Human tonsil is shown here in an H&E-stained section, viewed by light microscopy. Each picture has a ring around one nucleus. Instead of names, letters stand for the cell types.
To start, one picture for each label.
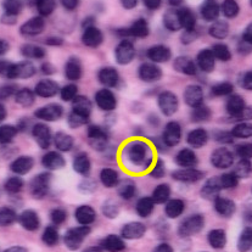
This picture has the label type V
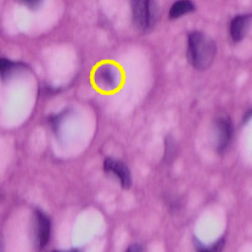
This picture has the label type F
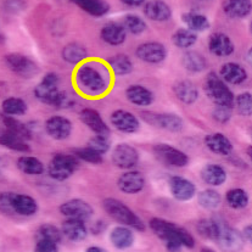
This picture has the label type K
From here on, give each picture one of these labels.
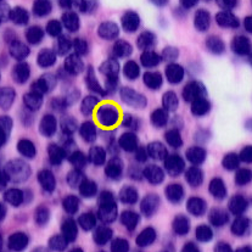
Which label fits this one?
type V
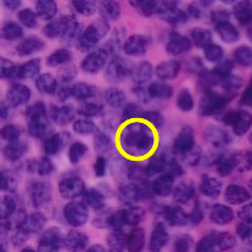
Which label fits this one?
type V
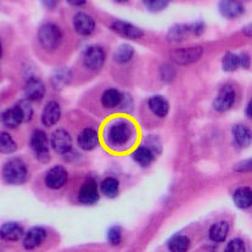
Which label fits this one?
type K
